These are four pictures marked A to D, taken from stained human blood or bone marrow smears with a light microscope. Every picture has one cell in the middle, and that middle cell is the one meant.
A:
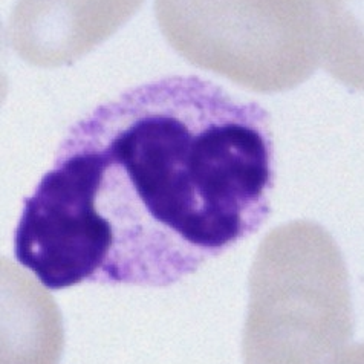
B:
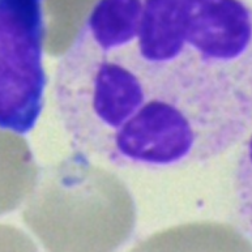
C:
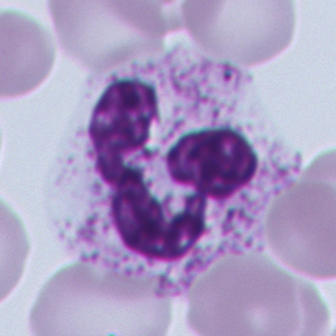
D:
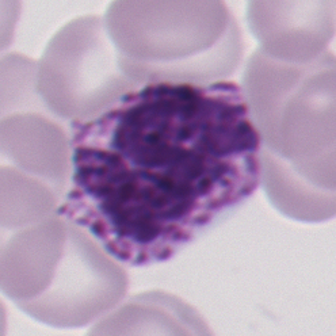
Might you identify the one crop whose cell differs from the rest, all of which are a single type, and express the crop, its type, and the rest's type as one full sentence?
The different crop is D; it is a basophil, and the others all show neutrophils.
